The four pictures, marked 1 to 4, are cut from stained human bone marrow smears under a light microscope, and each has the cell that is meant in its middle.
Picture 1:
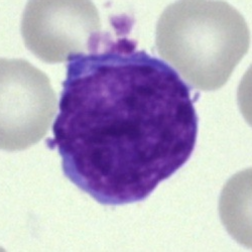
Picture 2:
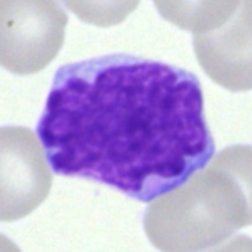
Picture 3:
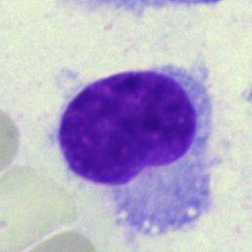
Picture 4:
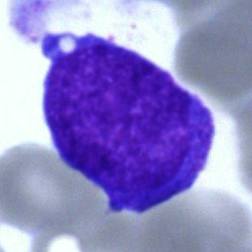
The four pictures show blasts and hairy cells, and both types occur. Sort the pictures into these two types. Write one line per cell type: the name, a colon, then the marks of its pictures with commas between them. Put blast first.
blast: 1, 2, 4
hairy cell: 3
